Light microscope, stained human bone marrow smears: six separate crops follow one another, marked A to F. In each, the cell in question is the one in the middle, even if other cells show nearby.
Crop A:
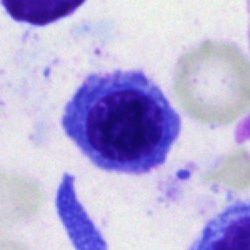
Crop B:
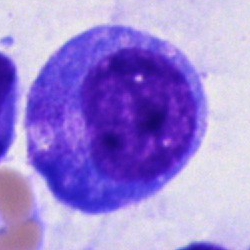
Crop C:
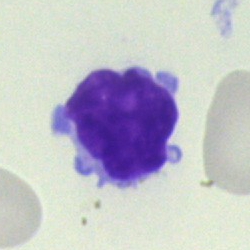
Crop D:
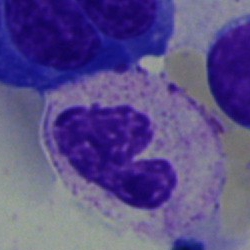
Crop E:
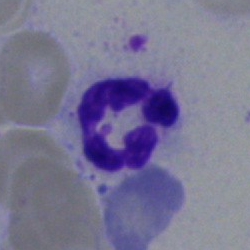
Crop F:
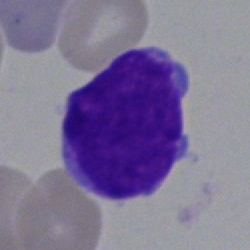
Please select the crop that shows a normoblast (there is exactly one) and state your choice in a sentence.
The one showing a normoblast is crop A.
